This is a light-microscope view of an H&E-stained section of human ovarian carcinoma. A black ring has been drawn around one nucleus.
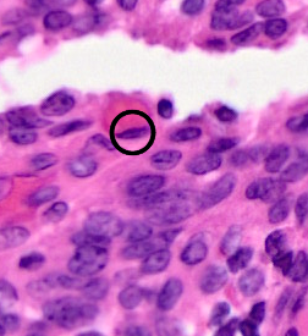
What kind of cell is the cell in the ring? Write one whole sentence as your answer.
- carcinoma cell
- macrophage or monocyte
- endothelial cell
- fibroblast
In short, the cell in the ring on this section is an endothelial cell.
